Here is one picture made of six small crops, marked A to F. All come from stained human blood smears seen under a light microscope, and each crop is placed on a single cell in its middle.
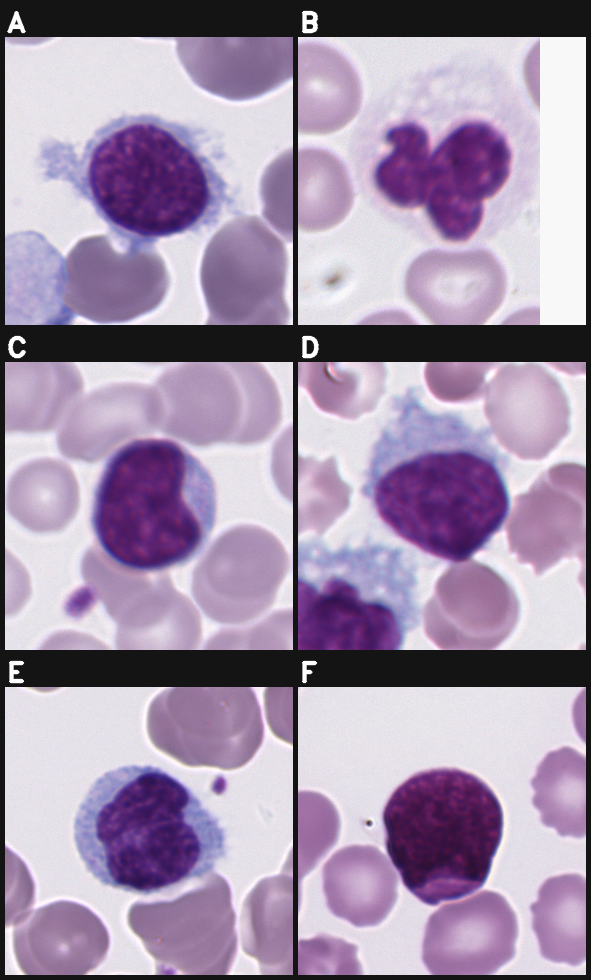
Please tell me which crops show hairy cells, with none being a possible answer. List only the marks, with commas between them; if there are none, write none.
A, D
